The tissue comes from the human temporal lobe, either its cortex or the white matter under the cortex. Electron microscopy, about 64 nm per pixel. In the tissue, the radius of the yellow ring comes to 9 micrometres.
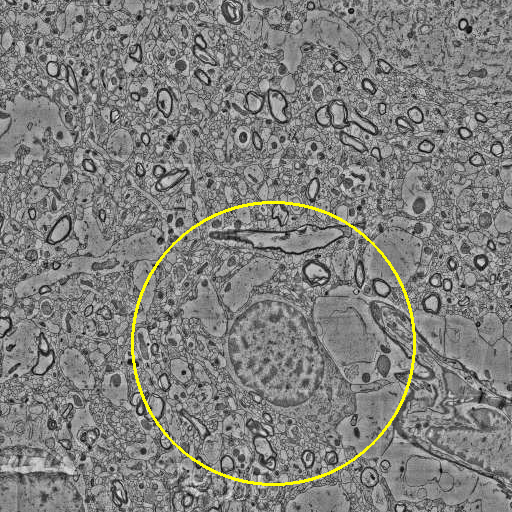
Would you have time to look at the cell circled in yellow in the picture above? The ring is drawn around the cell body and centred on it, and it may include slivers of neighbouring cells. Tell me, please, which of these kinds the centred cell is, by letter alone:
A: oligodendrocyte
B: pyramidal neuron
A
